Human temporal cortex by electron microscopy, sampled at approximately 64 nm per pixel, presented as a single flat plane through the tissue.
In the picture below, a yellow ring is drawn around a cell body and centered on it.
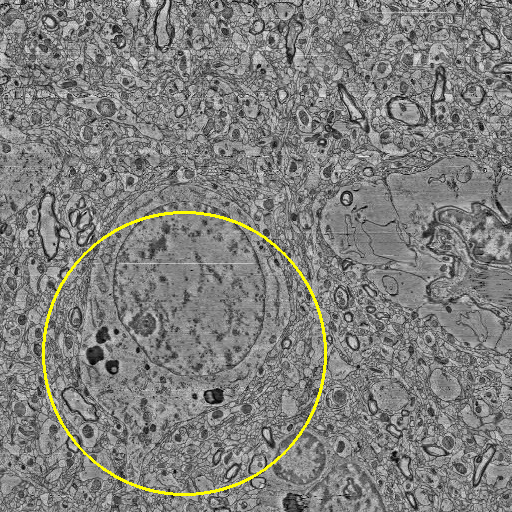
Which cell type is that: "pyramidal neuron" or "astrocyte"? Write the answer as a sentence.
The cell centered in the ring is a pyramidal neuron.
